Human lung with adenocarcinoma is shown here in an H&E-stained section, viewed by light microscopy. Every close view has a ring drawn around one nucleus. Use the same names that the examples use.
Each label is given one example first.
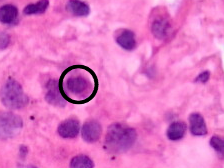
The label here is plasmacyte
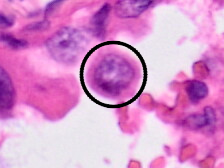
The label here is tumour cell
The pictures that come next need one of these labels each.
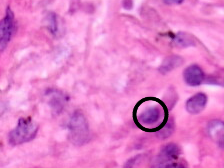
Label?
plasmacyte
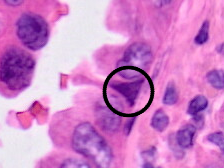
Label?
tumour cell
